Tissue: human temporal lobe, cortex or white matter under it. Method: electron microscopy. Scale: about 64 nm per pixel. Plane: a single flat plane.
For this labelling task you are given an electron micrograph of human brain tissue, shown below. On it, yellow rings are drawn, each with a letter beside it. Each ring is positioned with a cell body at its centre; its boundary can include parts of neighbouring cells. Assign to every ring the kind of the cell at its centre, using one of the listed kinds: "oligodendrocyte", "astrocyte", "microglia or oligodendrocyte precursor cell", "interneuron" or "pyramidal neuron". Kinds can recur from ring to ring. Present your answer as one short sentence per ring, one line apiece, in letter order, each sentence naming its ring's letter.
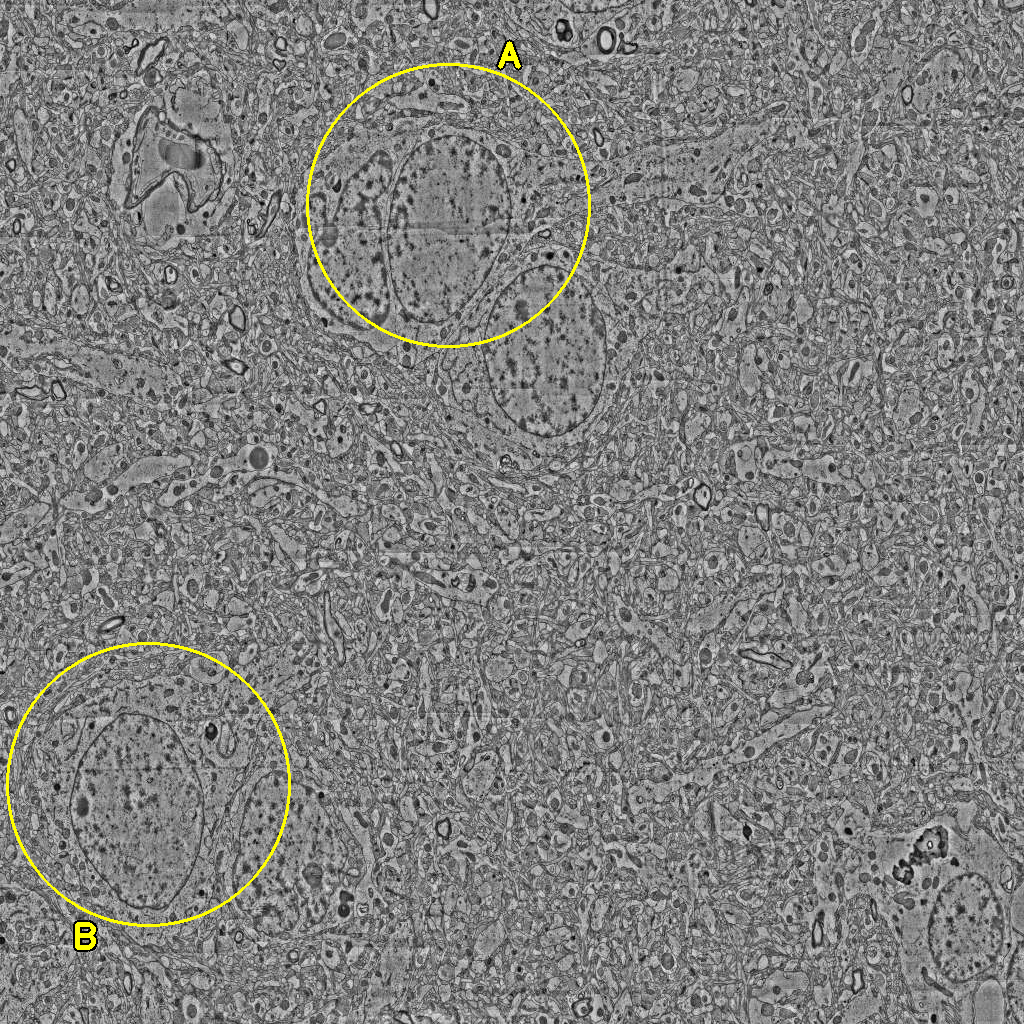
The cell in the middle of ring A is a pyramidal neuron.
The cell in the middle of ring B is a pyramidal neuron.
